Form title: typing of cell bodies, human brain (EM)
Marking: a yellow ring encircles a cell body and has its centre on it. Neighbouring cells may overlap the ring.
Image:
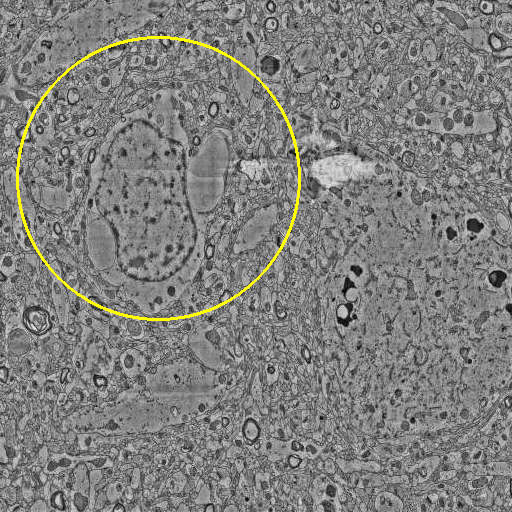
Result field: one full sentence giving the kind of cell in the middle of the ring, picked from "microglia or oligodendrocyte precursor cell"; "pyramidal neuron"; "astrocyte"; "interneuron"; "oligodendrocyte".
In the picture, the ring is centred on an astrocyte, whose cell body it encircles.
